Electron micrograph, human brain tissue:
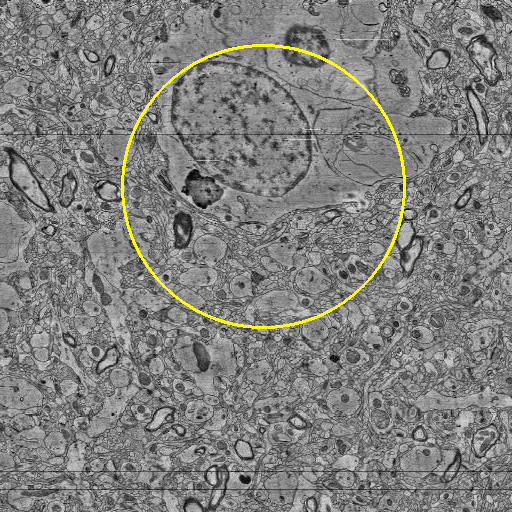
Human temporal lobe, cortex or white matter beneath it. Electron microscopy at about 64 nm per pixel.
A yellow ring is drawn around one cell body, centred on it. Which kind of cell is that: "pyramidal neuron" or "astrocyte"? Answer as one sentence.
It is an astrocyte at the centre of the ring.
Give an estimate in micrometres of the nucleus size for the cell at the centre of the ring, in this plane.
Roughly 11 micrometres by 8 micrometres, in this plane.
